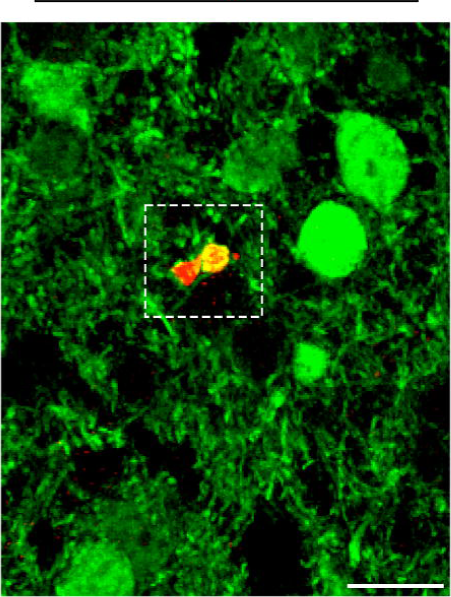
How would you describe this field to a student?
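Fluorescence image of brain tissue with several large, rounded green neuronal cell bodies set in a dense meshwork of green processes. Inside a dashed box lies a small, compact and irregular cell in which red and green overlap, giving a yellow-orange colour. This cell is much smaller than the intact round green cell bodies nearby and appears shrunken and fragmented.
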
